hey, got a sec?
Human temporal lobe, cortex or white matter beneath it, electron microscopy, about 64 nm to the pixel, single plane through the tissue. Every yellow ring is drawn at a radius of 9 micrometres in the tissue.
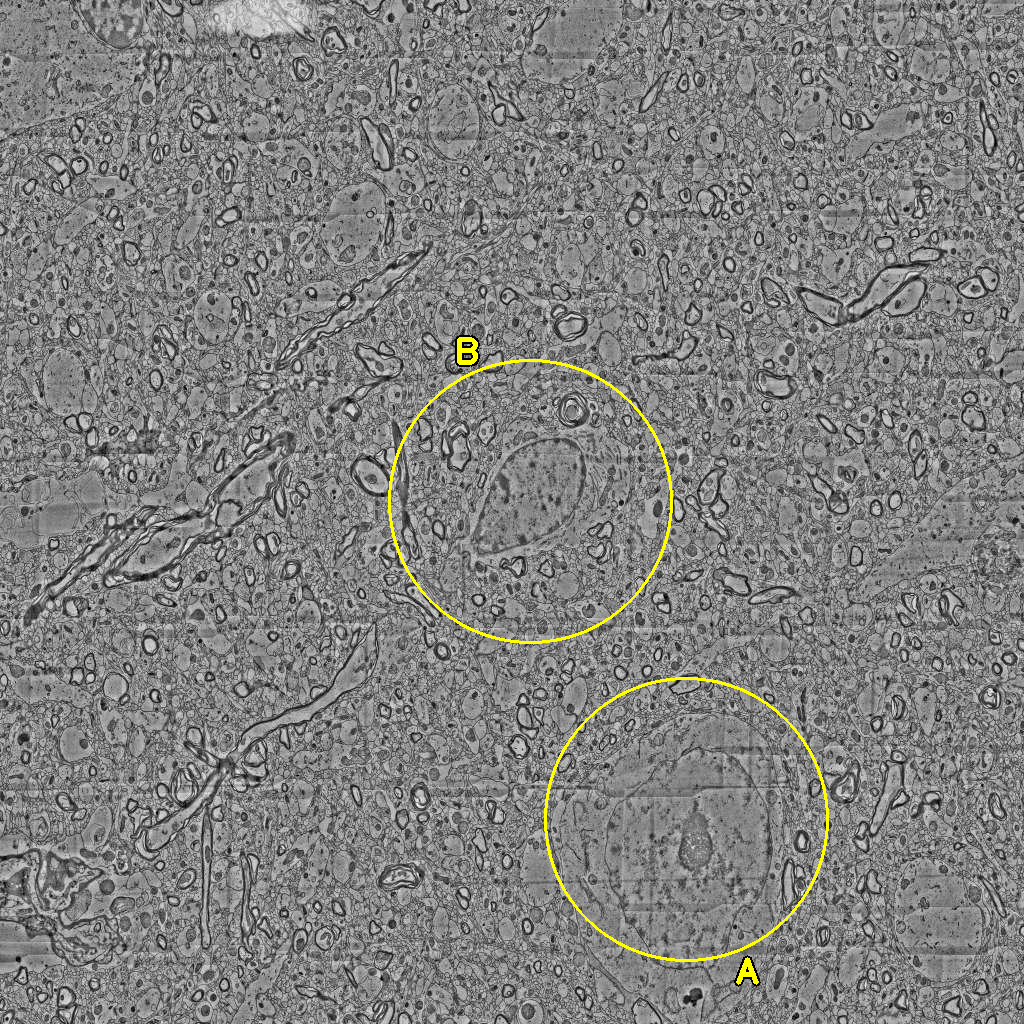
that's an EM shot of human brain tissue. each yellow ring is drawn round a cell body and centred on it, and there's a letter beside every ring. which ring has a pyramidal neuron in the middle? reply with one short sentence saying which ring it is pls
Ring A is the one centred on it.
